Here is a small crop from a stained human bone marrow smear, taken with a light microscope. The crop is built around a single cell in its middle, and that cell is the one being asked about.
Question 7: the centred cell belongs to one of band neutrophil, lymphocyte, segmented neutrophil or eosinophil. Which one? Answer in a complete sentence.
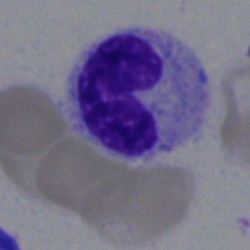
In this smear crop, the middle cell is a band neutrophil.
